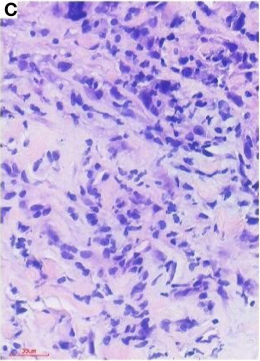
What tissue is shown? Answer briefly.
Myxoid stroma.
